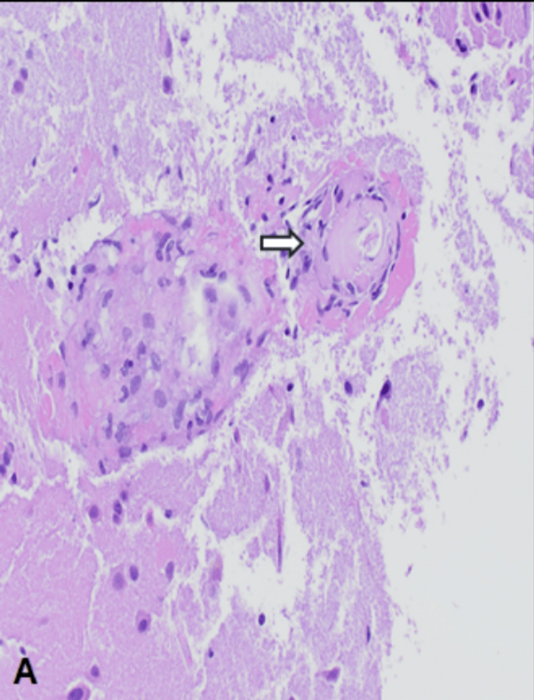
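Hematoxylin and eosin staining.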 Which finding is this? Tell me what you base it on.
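A dense cluster of cells with oval, pale nuclei lies beside the vessel. Cells crowd around the vessel wall. On this evidence: granulomatous inflammation.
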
